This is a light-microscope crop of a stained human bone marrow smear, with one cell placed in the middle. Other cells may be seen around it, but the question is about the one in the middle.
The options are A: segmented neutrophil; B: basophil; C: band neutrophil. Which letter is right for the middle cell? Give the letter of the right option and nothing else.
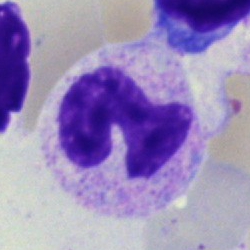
C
